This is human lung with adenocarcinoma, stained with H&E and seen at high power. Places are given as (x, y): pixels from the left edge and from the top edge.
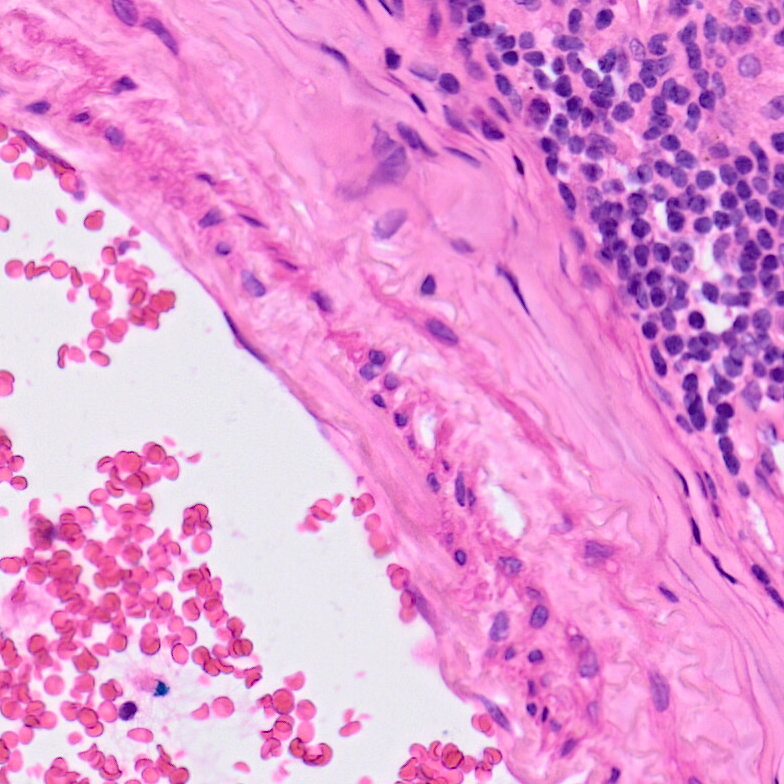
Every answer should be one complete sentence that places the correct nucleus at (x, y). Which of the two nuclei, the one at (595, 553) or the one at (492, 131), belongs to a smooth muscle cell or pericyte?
Of the two nuclei, the nucleus belonging to a smooth muscle cell or pericyte is located at (595, 553).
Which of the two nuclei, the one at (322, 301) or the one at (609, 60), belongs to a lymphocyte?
The nucleus at (609, 60) is housed in a lymphocyte.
